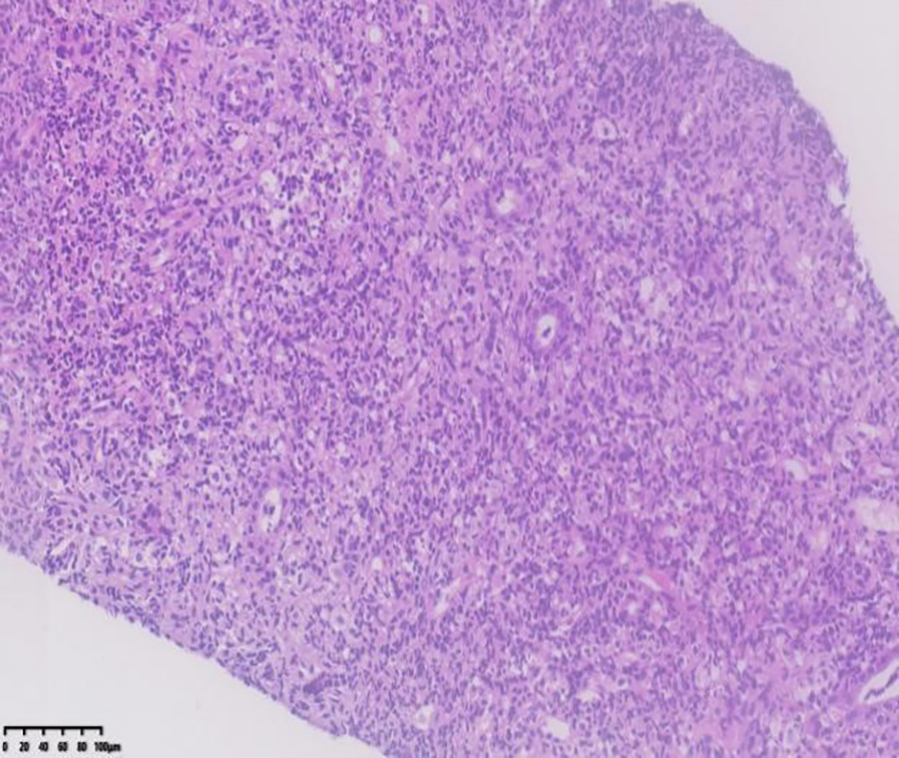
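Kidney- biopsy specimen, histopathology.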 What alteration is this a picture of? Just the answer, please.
Extensive interstitial infiltration.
